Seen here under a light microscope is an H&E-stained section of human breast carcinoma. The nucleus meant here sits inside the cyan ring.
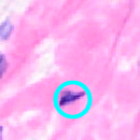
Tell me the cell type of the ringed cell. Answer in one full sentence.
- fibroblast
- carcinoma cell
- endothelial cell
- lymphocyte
To be brief about it, the ringed cell is a fibroblast.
